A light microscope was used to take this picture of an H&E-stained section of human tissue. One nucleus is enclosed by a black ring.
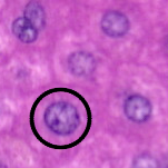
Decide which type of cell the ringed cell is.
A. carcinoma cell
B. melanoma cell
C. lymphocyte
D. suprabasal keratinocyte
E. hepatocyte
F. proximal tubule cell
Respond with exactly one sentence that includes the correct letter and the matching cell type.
On this slide, the ringed cell is a hepatocyte, so option E is right.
